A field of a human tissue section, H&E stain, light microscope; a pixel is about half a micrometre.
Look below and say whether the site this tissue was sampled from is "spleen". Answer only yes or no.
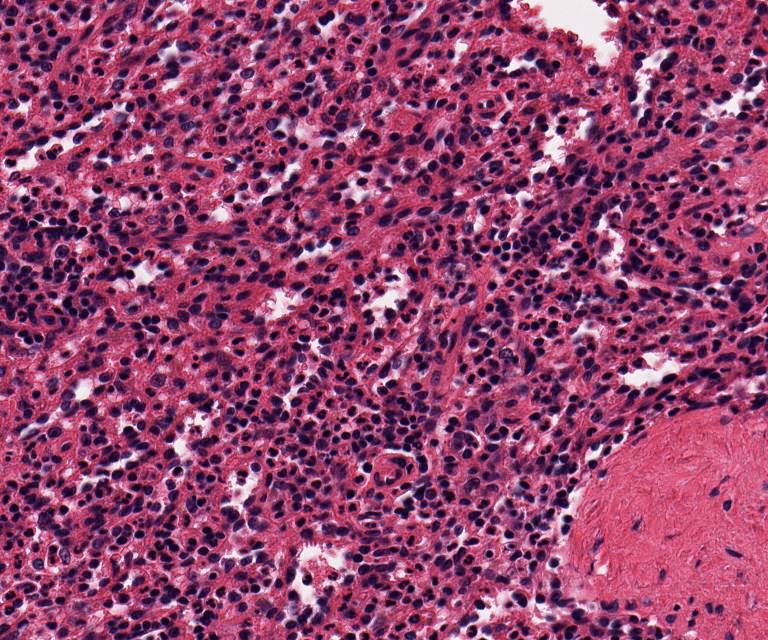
yes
